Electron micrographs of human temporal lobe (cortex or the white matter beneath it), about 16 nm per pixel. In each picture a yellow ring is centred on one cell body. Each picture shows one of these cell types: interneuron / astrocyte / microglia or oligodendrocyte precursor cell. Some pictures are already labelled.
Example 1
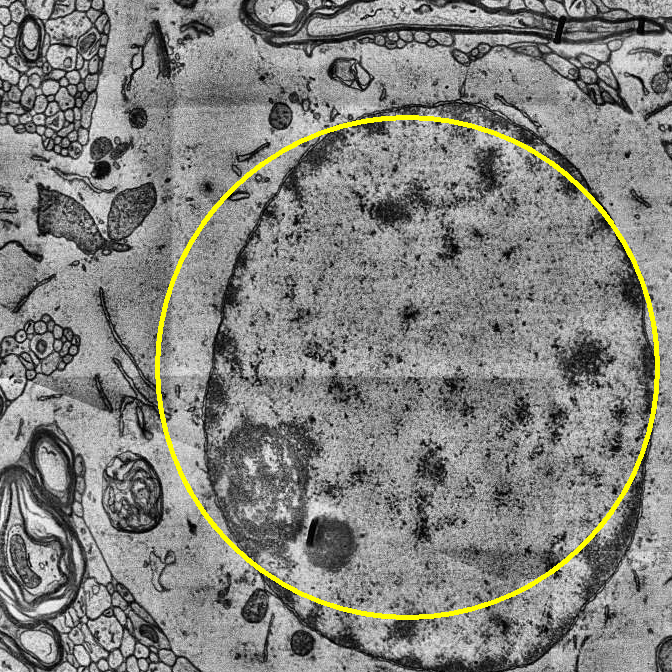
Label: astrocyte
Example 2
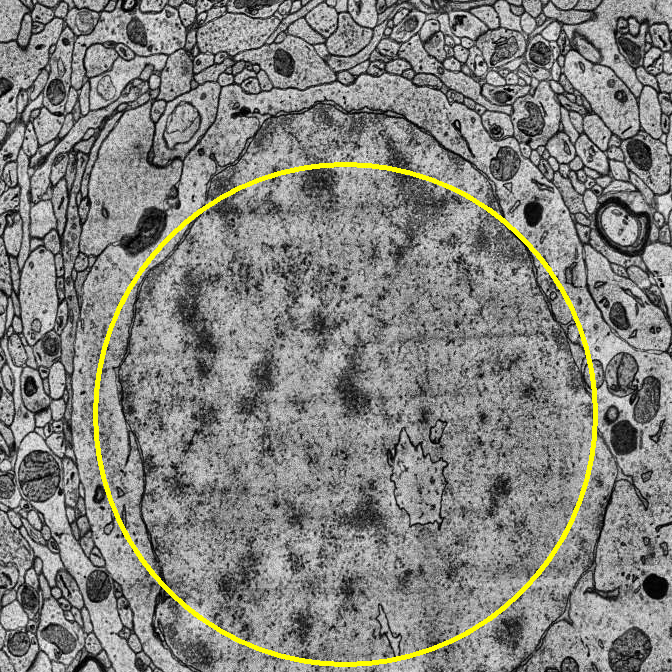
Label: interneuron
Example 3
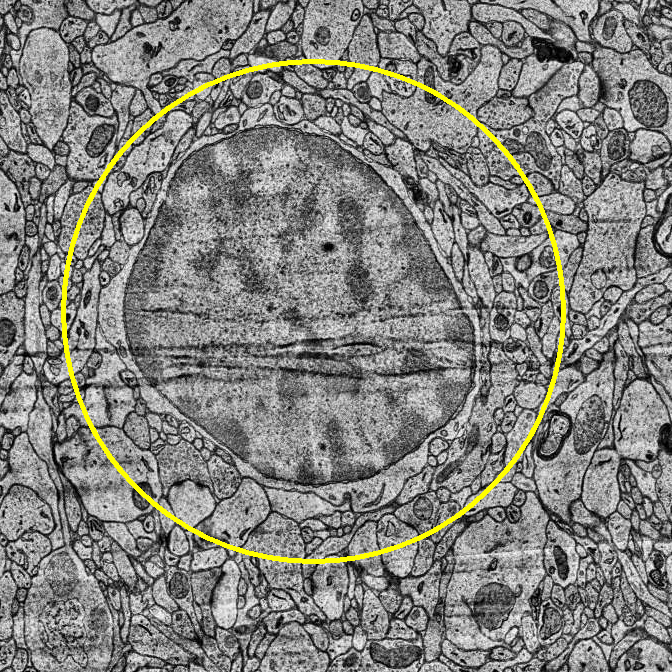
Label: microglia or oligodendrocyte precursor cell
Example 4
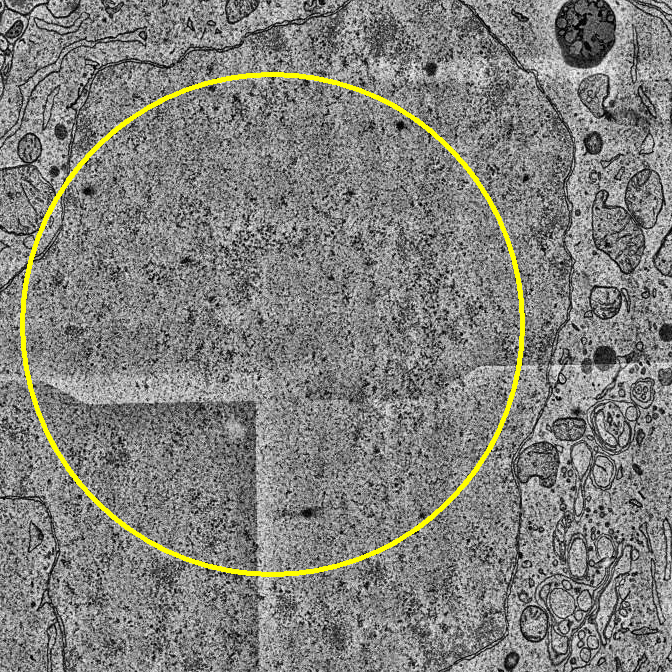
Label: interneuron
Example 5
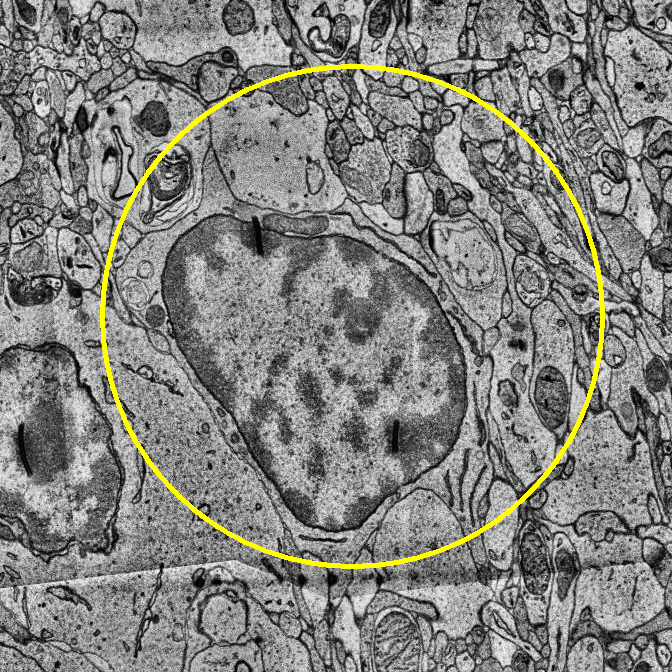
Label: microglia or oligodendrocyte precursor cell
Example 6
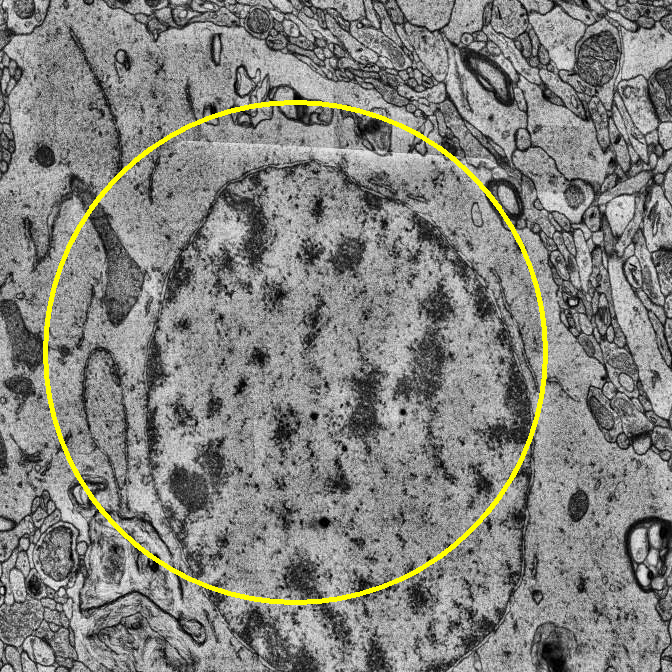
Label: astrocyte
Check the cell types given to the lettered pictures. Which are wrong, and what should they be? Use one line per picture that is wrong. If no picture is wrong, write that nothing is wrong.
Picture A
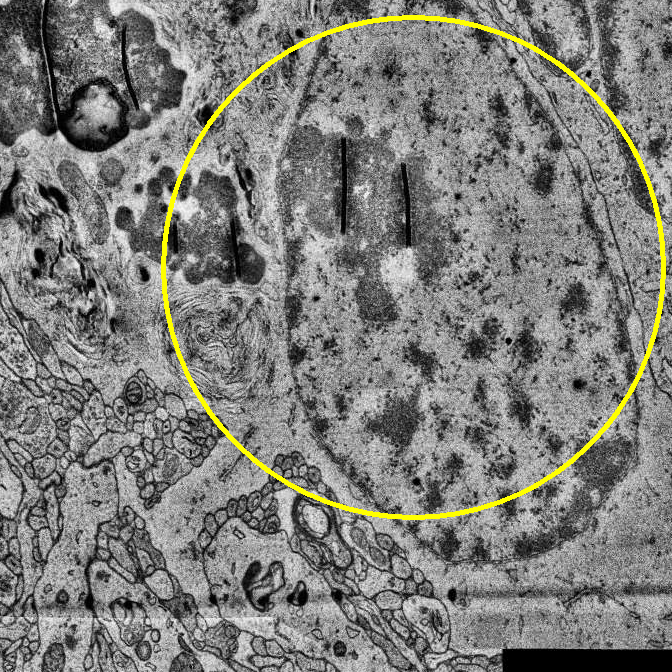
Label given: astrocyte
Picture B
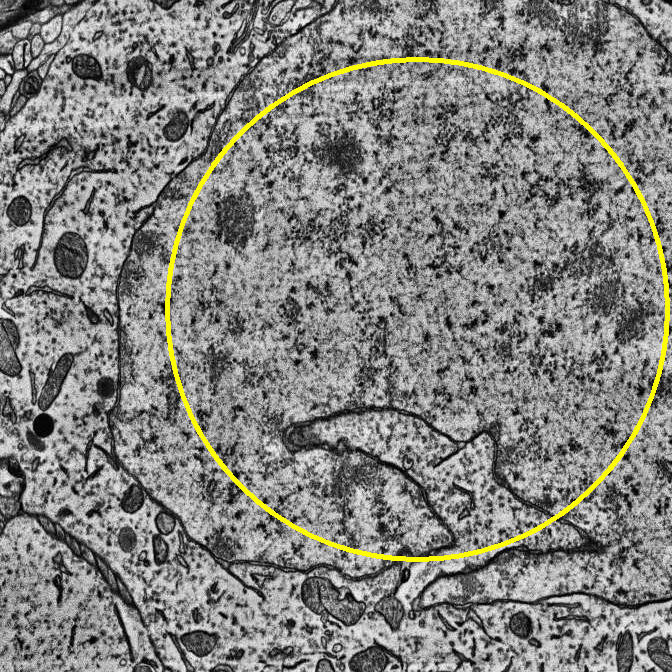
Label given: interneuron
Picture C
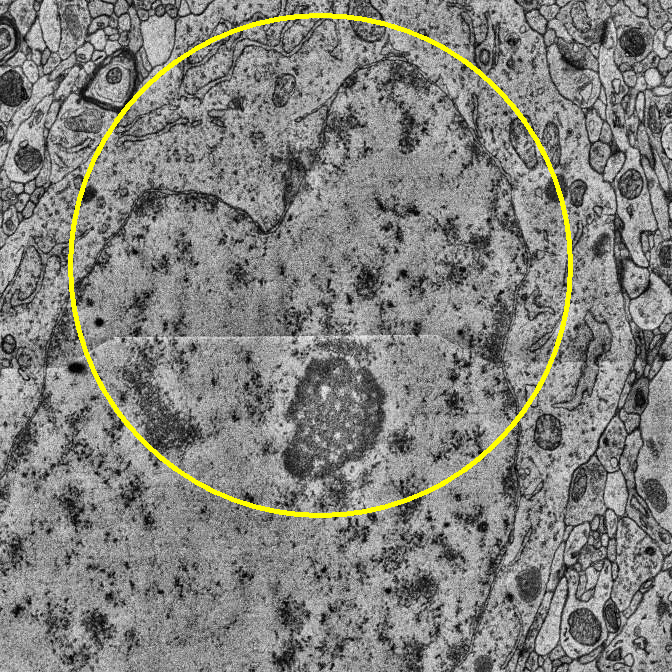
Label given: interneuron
Nothing to fix; every label fits.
